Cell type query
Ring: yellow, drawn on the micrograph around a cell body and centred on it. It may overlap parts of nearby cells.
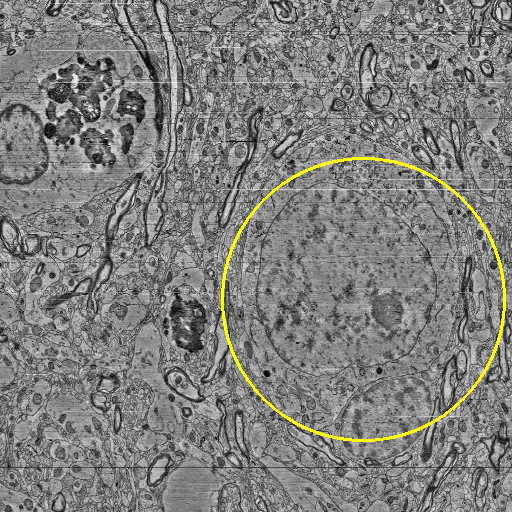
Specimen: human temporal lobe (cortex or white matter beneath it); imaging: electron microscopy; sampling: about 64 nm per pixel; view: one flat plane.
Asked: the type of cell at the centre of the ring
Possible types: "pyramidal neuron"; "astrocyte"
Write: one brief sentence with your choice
The ring marks a pyramidal neuron.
